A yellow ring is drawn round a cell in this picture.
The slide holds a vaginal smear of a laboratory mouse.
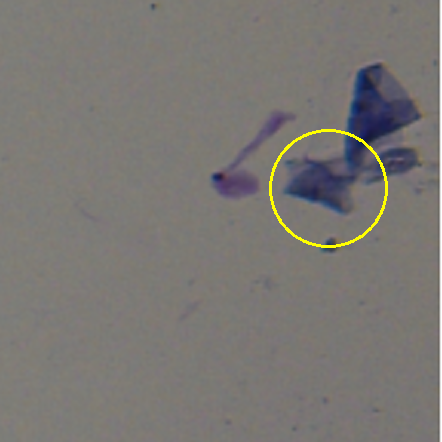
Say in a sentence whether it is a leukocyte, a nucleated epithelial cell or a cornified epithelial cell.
The cell in the ring is a cornified epithelial cell.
